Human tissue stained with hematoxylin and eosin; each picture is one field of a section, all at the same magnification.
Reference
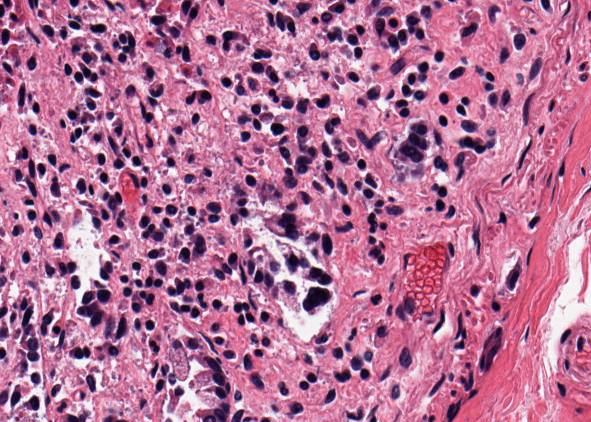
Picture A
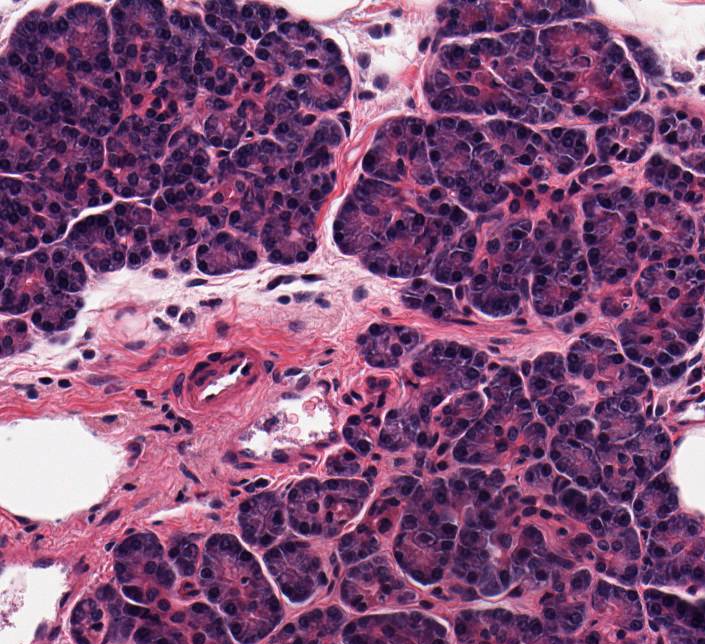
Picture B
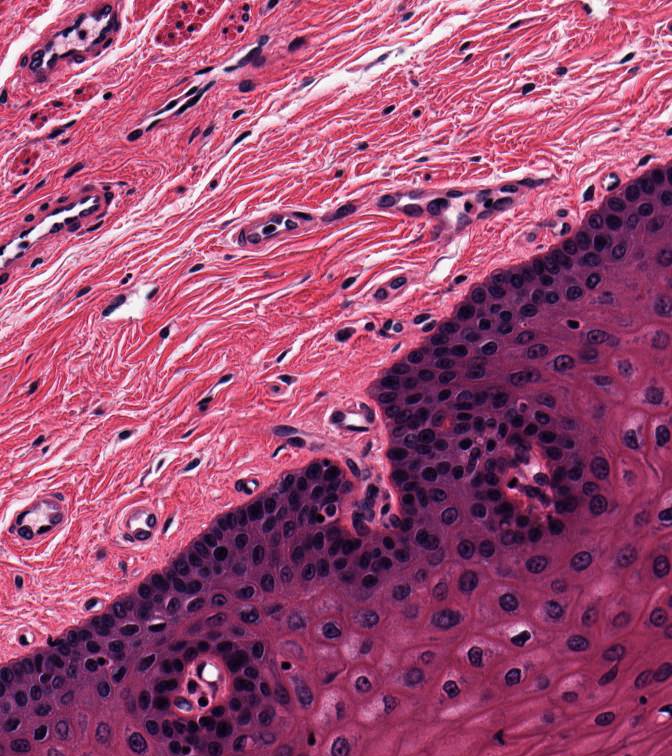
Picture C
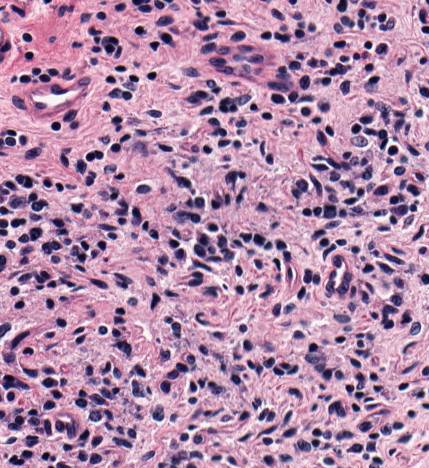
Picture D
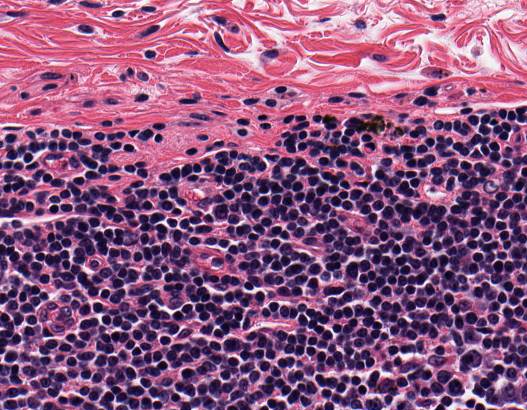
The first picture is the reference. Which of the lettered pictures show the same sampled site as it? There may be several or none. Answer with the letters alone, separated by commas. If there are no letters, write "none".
C, D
